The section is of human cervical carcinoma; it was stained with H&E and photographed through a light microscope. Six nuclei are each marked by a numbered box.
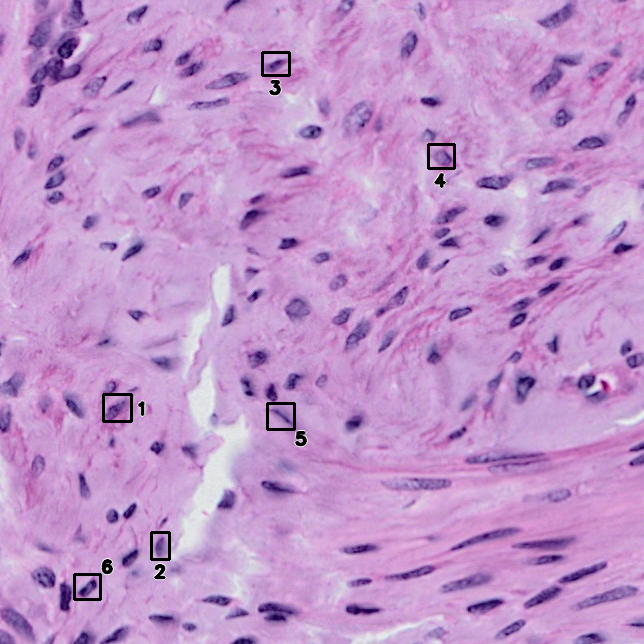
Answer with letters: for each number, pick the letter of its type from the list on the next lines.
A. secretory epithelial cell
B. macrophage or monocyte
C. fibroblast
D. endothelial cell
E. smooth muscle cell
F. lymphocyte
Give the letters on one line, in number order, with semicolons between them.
E; C; E; E; C; C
